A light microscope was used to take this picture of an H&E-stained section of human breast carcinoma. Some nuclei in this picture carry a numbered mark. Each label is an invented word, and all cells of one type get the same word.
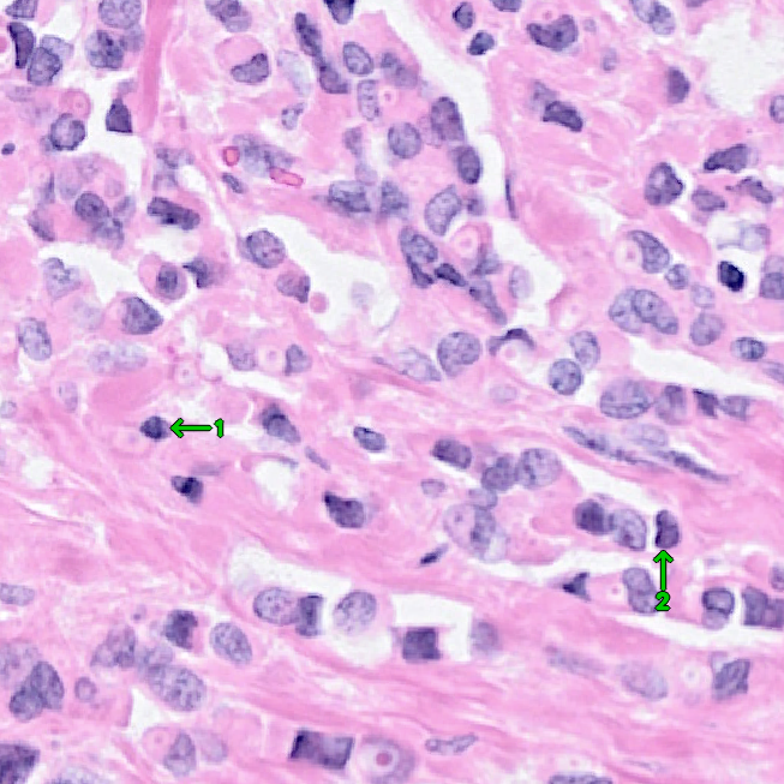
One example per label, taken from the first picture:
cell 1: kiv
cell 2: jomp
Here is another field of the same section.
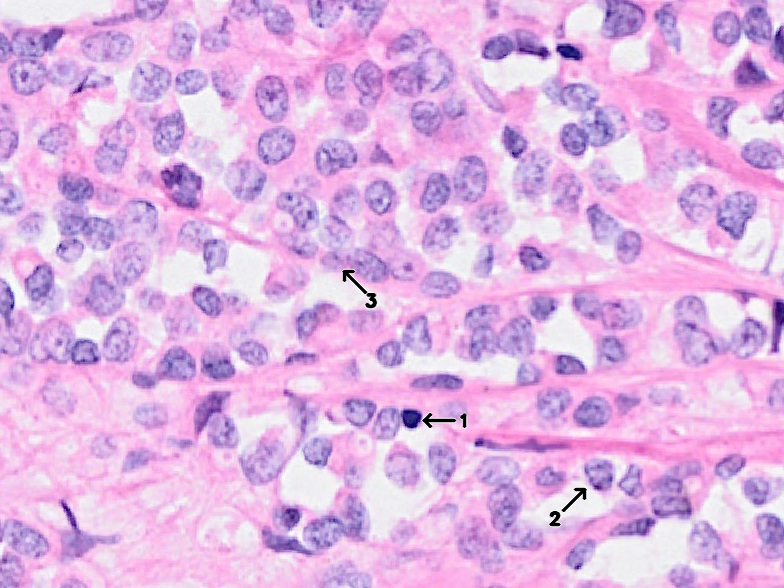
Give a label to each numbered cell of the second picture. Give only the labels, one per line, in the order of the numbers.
kiv
jomp
jomp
